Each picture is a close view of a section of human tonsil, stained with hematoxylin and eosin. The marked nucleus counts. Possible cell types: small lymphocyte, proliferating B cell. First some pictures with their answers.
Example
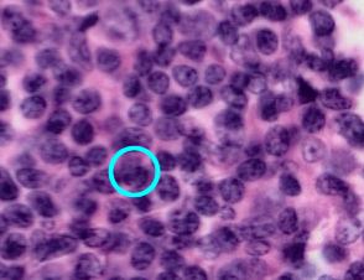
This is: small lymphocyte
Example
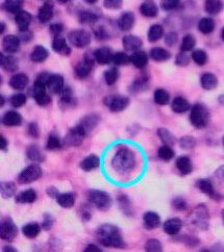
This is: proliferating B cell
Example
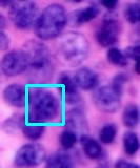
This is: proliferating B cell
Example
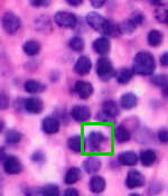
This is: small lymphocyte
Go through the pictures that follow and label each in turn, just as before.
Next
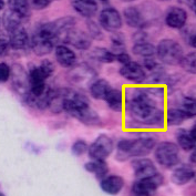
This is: proliferating B cell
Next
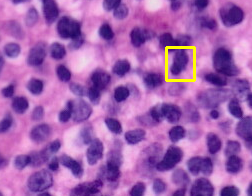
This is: proliferating B cell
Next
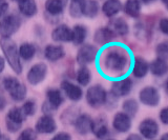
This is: small lymphocyte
